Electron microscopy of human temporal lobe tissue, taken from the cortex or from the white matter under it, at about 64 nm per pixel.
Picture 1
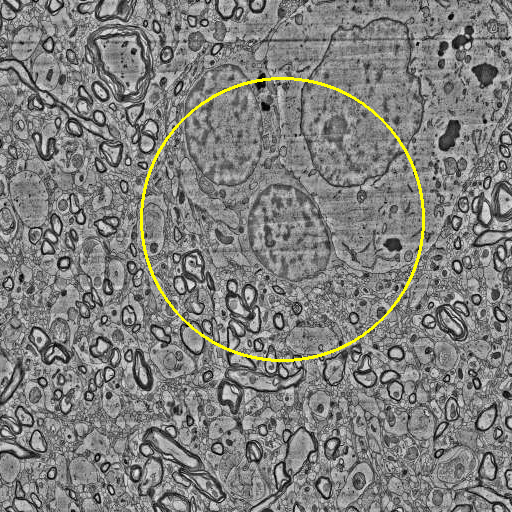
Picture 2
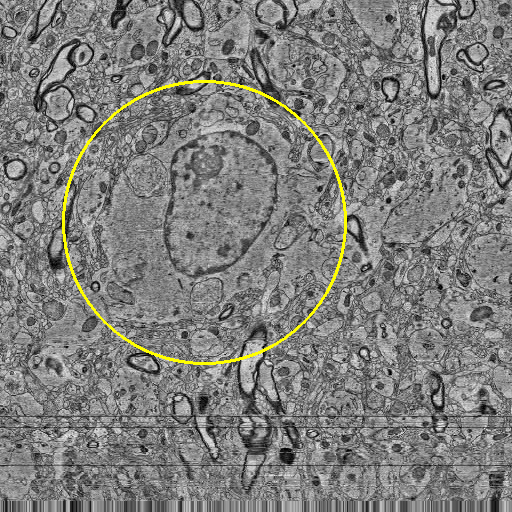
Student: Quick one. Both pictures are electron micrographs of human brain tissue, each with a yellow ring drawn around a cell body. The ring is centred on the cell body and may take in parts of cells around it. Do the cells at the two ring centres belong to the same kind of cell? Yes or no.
no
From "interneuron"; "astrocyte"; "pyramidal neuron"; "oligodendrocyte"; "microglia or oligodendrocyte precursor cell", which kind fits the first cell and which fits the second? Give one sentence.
The cell marked in the first picture is an oligodendrocyte, and the one marked in the second is an astrocyte.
